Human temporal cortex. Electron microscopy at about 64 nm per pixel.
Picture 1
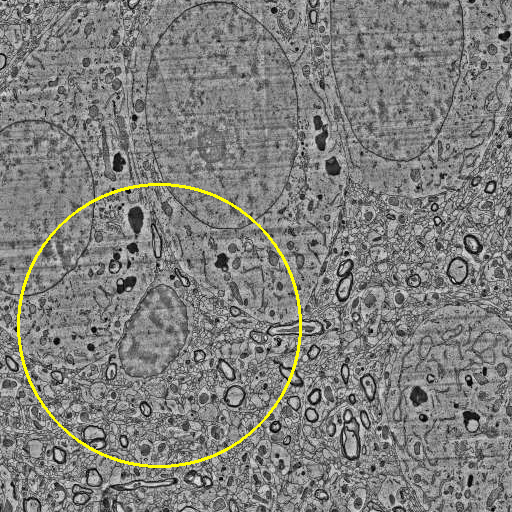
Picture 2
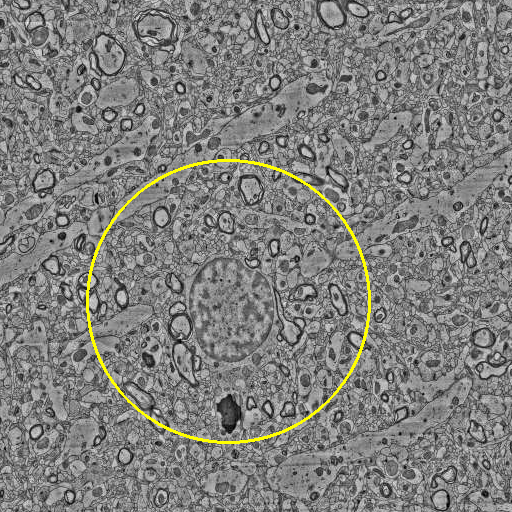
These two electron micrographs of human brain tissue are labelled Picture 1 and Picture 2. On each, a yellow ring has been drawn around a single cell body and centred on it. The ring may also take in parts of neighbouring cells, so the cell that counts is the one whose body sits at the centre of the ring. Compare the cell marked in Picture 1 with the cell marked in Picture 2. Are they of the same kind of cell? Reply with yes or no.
yes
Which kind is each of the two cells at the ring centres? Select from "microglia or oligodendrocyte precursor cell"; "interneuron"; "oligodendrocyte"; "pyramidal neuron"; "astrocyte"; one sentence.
In each picture the ringed cell is an oligodendrocyte.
